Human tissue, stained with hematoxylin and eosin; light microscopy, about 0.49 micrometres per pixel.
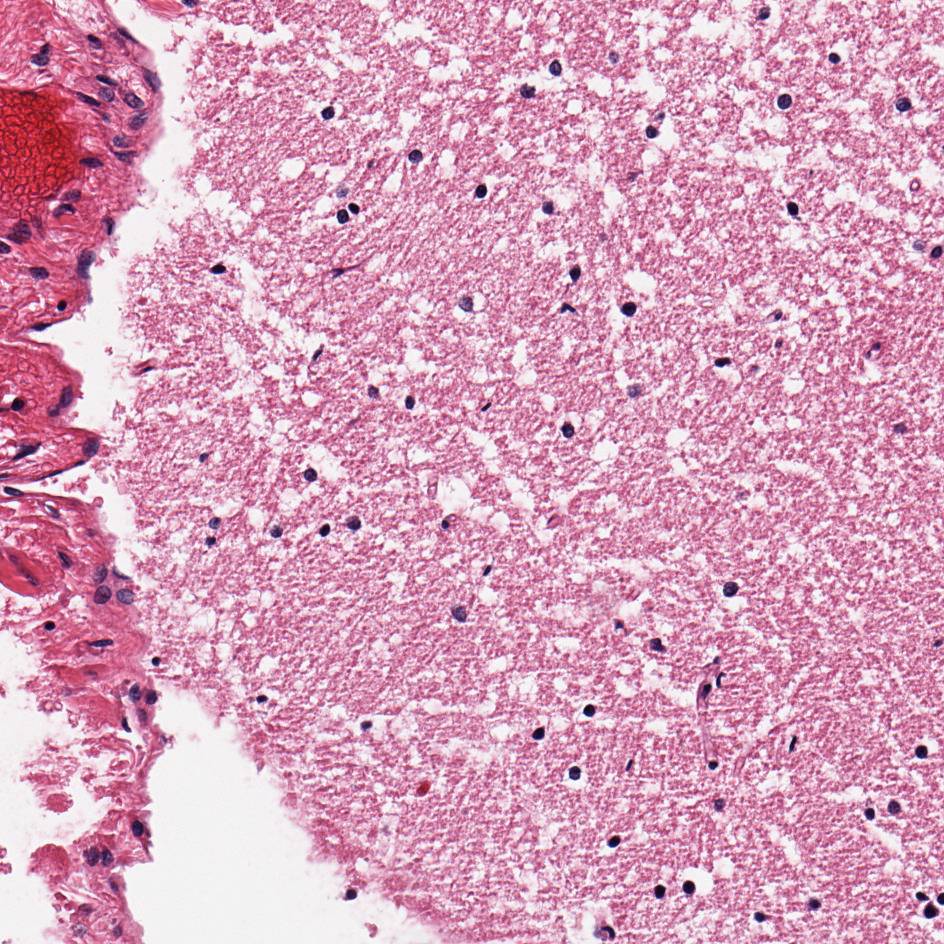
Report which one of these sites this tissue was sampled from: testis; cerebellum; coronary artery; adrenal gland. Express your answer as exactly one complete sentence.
Sampling of this tissue was done from the cerebellum.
